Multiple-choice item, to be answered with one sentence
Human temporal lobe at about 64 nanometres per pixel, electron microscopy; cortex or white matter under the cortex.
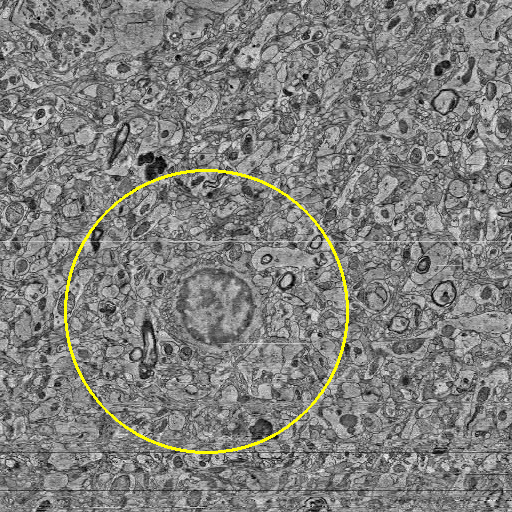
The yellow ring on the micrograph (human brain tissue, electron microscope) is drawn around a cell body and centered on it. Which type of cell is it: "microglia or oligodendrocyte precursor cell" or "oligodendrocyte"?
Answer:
The ring is centered on an oligodendrocyte.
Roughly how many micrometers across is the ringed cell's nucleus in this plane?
In this plane, approximately 5 micrometres across.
